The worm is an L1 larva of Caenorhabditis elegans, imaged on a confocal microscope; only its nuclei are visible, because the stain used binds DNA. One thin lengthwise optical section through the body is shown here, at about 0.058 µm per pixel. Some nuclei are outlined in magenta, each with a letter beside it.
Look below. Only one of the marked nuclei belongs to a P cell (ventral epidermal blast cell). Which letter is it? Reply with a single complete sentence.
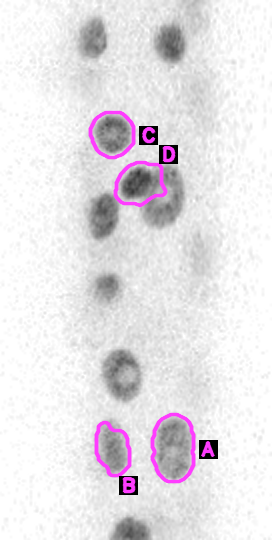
Nucleus B belongs to a P cell (ventral epidermal blast cell).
